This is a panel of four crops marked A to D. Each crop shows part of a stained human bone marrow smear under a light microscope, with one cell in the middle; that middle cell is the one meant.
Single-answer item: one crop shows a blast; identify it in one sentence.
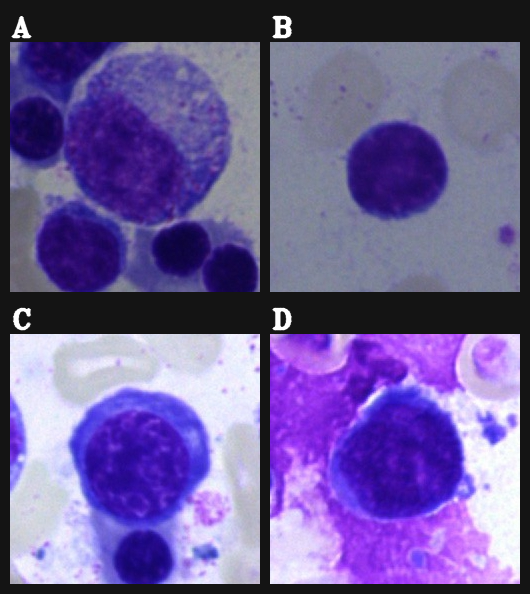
It is in crop D, among all the crops, that a blast is present.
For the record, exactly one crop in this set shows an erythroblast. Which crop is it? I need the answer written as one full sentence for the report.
The crop carrying an erythroblast at the center is crop C.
